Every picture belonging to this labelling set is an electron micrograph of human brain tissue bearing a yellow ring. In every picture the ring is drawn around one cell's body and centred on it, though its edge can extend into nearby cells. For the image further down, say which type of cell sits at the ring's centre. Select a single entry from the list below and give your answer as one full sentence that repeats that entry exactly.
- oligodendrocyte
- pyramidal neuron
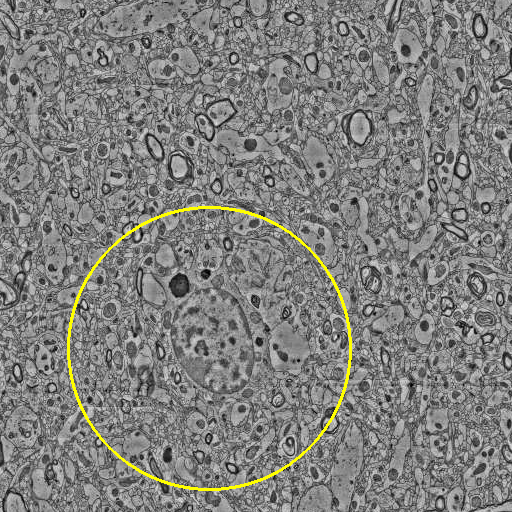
In the picture, an oligodendrocyte is the cell at the centre of the yellow ring.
